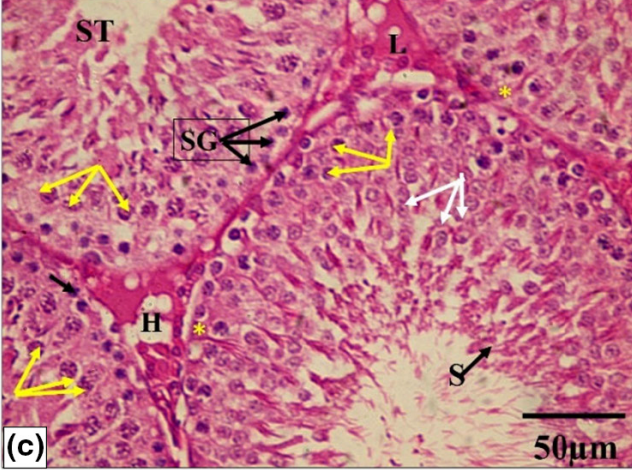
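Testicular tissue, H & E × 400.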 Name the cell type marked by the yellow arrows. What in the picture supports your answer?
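The yellow arrows point to large round cells with large rounded nuclei. These cells lie in the middle layers of the epithelium, above the basal cells.
Hence: primary spermatocytes.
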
